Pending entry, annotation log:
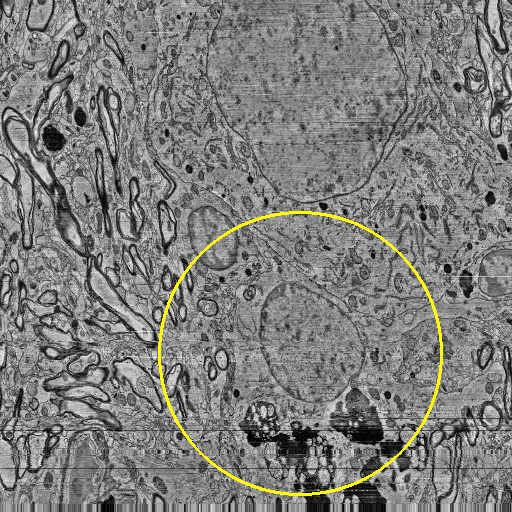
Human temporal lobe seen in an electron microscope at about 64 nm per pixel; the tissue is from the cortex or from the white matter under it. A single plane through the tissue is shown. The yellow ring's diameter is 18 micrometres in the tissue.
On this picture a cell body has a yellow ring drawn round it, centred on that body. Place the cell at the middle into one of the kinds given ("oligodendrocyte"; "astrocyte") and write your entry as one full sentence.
The cell body at the middle of the yellow ring belongs to an astrocyte.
